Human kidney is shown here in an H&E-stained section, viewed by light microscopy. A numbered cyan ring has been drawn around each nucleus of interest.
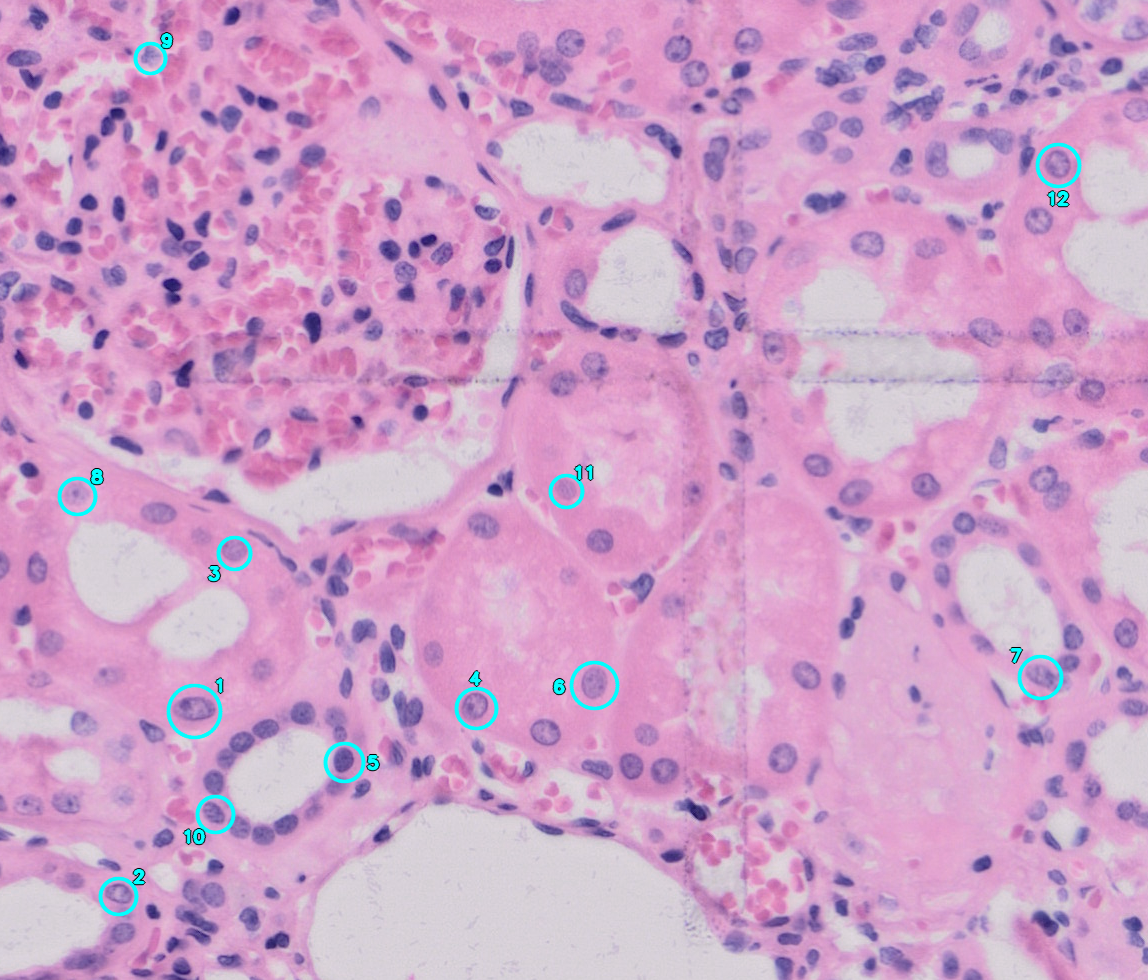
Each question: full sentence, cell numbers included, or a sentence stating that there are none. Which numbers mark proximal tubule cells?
Within the section, cells numbered 1, 3, 4, 6, 8, 11 and 12 are proximal tubule cells.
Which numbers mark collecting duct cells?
Identification: the cells with numbers 2, 5, 7 and 10 are collecting duct cells.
